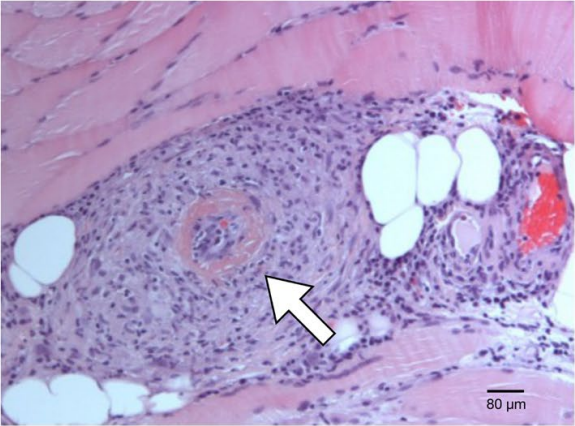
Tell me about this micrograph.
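This is skeletal muscle with a focus of inflammatory mononuclear cells around a vessel. Pink muscle fibres with flattened peripheral nuclei run across the upper and lower parts. Between them lies a dense cluster of small dark purple nuclei. At its centre a vessel has a thickened, glassy pink ring-shaped wall and a narrowed lumen. Fat cells appear as empty white rounded spaces, and a vessel filled with red blood cells lies at the right.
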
